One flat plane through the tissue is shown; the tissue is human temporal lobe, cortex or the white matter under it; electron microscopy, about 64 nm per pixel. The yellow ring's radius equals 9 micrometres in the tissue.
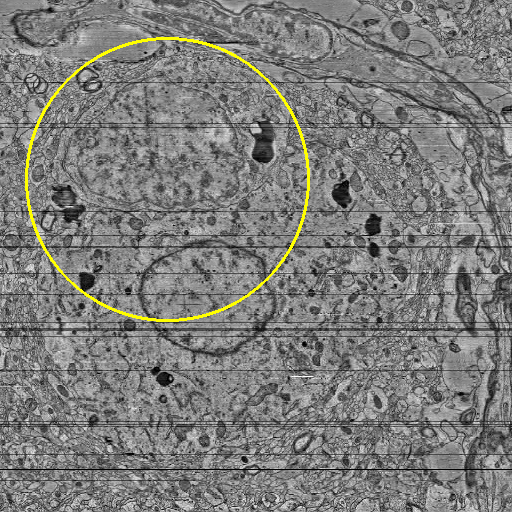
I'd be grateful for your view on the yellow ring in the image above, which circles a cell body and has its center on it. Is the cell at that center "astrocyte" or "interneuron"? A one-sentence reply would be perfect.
The cell at the center of the yellow ring is an interneuron.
